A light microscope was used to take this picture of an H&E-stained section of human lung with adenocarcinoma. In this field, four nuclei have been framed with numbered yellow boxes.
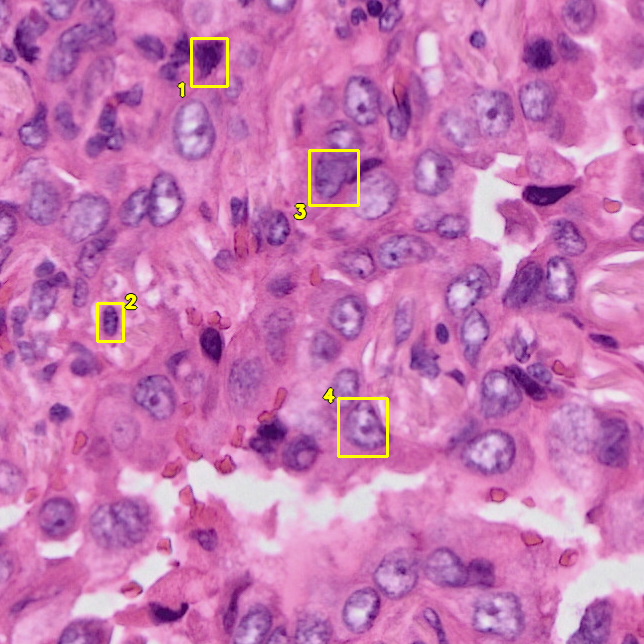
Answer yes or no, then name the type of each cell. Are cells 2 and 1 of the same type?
No, rather, cell 2 is a mast cell and cell 1 is a carcinoma cell.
